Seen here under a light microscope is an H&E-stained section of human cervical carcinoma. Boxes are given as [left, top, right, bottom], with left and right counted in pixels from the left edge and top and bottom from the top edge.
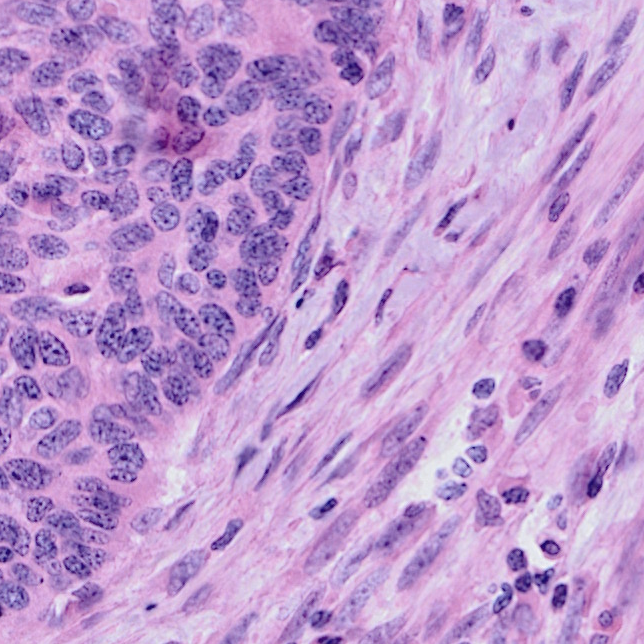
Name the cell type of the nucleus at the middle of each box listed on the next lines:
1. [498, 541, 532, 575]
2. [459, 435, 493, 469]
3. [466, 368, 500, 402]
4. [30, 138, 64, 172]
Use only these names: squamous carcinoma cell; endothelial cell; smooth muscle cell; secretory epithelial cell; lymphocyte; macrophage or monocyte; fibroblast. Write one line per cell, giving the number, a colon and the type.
1: lymphocyte
2: lymphocyte
3: lymphocyte
4: squamous carcinoma cell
